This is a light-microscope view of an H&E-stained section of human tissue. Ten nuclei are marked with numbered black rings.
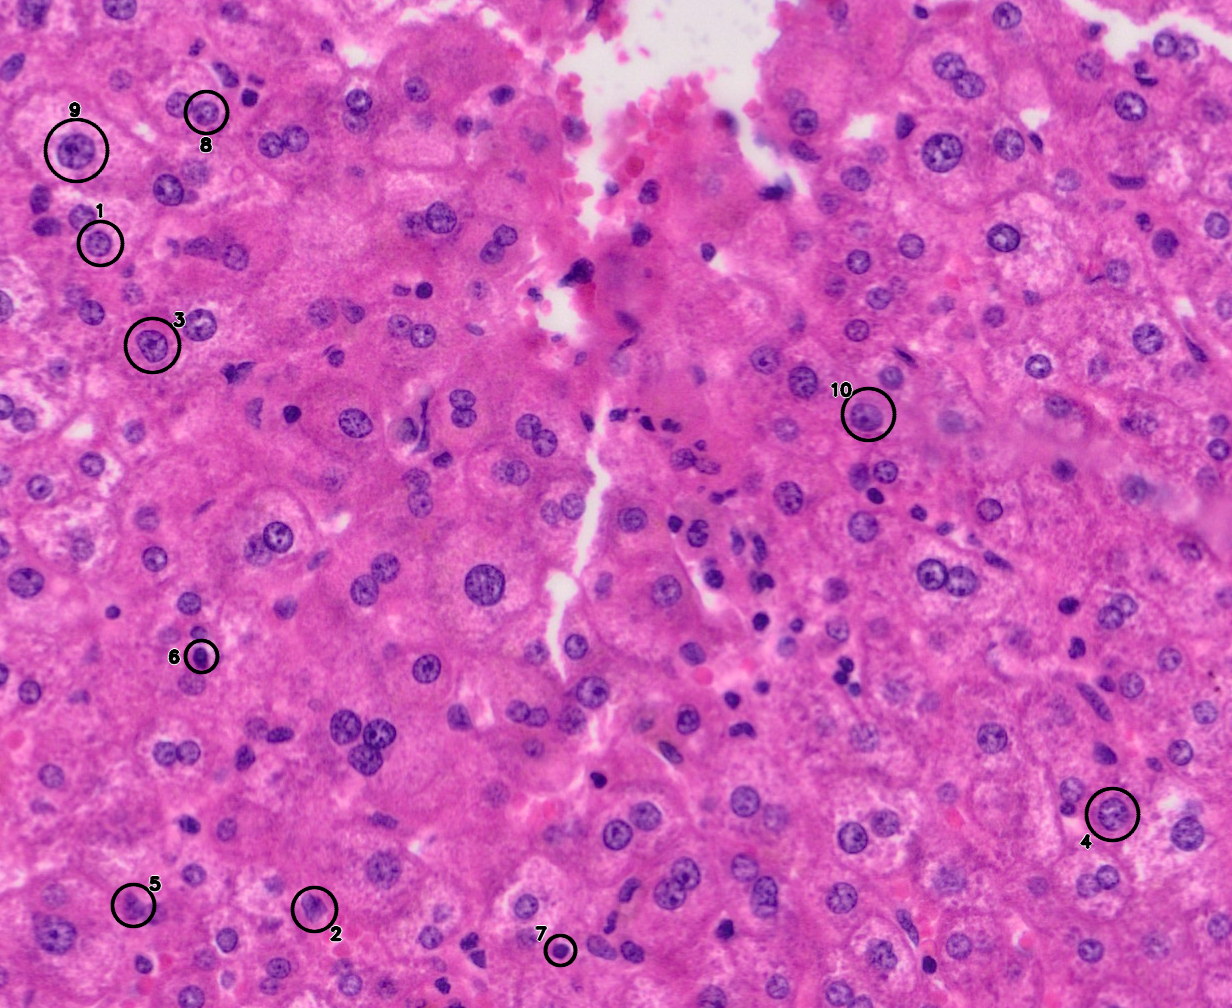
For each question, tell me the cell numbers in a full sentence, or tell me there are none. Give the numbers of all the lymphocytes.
The numbers 6 and 7 in this section indicate lymphocytes.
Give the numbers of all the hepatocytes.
In this section, the cells labelled 1, 3, 4, 8, 9 and 10 are hepatocytes.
